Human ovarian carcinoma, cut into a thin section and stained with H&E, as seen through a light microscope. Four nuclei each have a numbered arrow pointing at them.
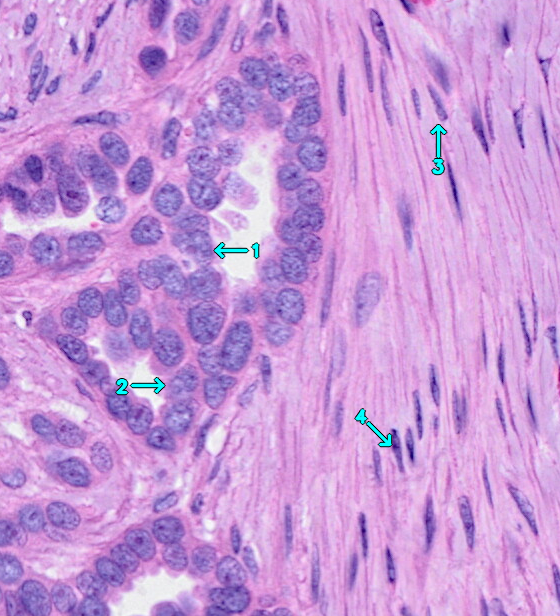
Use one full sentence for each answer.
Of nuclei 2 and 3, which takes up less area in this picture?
Number 3 is smaller, since number 2 takes up about 3 times as much area.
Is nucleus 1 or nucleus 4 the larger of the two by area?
Nucleus 1 covers more area, about 3 times as much as nucleus 4.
